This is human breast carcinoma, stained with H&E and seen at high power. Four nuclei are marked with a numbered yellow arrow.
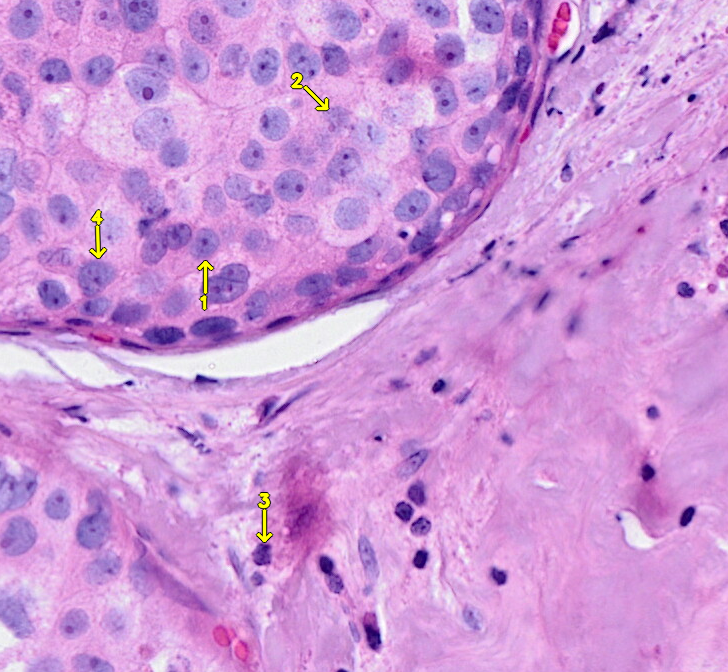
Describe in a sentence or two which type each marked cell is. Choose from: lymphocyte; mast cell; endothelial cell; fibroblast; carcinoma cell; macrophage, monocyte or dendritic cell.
Cells 1, 2 and 4 are carcinoma cells. Cell 3 is a lymphocyte.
